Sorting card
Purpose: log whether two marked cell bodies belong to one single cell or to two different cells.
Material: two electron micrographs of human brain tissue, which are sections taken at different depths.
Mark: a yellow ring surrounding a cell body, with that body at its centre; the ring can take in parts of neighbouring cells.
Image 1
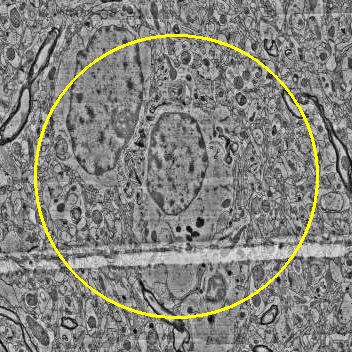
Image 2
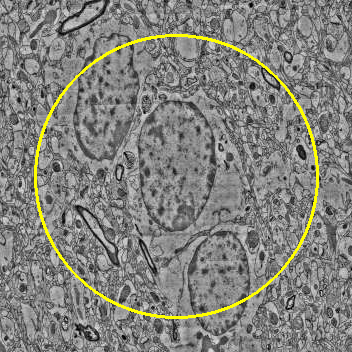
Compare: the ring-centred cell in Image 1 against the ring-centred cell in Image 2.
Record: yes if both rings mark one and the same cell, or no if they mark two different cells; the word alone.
yes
